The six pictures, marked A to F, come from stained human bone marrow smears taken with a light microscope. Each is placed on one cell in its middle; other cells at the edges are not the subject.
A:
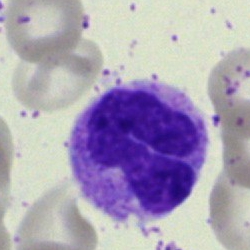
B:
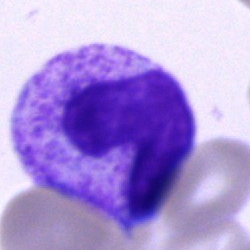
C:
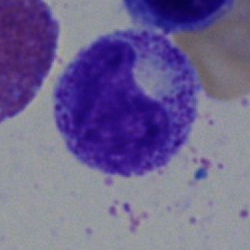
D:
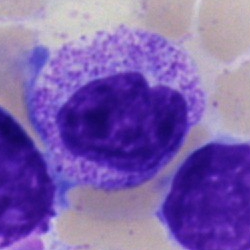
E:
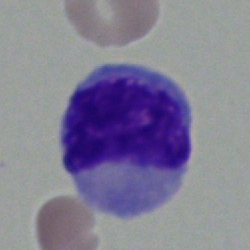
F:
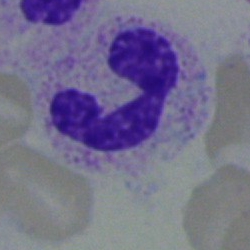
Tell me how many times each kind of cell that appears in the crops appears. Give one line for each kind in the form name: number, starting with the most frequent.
metamyelocyte: 5
segmented neutrophil: 1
